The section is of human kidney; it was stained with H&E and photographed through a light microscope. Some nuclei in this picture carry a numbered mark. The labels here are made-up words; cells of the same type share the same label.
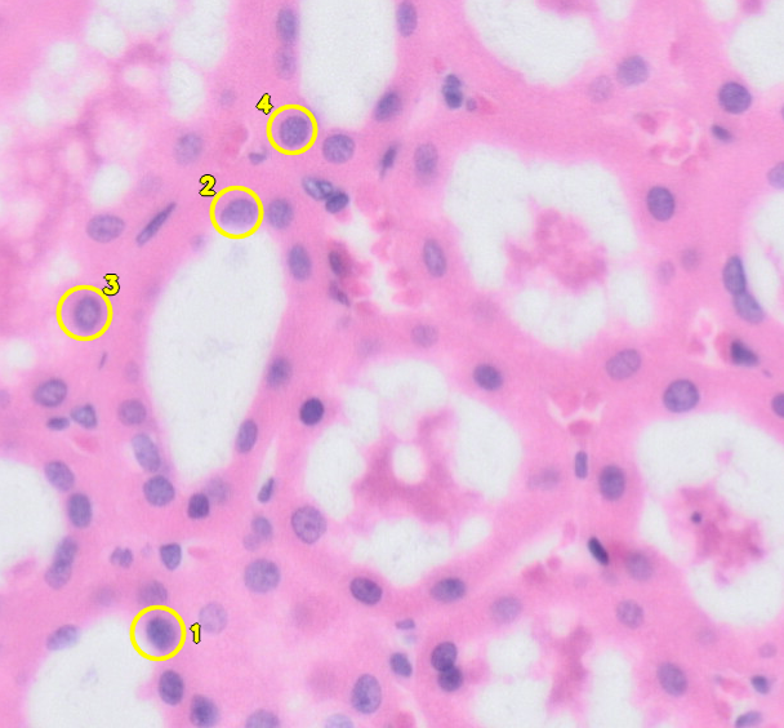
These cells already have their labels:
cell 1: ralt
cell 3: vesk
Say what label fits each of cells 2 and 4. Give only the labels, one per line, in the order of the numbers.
ralt
ralt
